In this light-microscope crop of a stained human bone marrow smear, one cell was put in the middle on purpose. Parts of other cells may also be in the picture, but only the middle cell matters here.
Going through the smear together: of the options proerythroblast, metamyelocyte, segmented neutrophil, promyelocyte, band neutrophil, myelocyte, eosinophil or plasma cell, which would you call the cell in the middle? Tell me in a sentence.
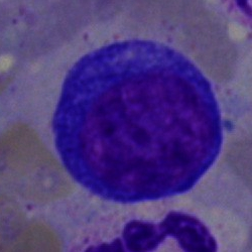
The crop centres on a single cell, and that cell is a proerythroblast.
